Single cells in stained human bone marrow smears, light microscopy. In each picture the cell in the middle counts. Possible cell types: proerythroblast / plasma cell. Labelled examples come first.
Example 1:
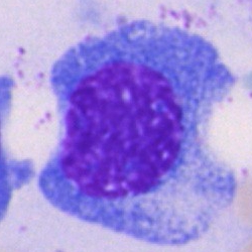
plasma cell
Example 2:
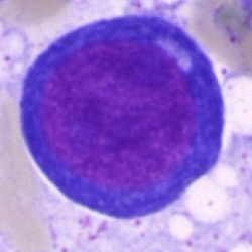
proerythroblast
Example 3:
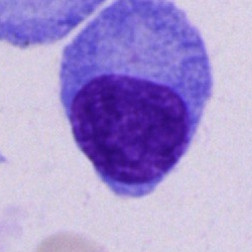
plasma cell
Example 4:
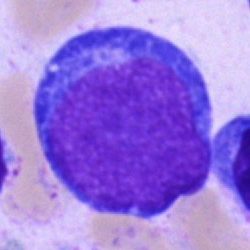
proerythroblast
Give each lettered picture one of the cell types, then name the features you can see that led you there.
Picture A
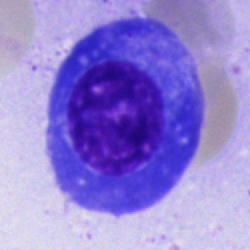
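plasma cell. The chromatin is dark purple and coarsely clumped, with paler gaps between the clumps.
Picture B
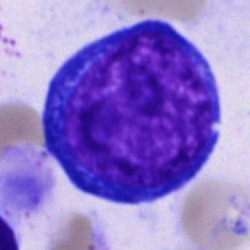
proerythroblast. The cytoplasm forms only a thin rim around the nucleus.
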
